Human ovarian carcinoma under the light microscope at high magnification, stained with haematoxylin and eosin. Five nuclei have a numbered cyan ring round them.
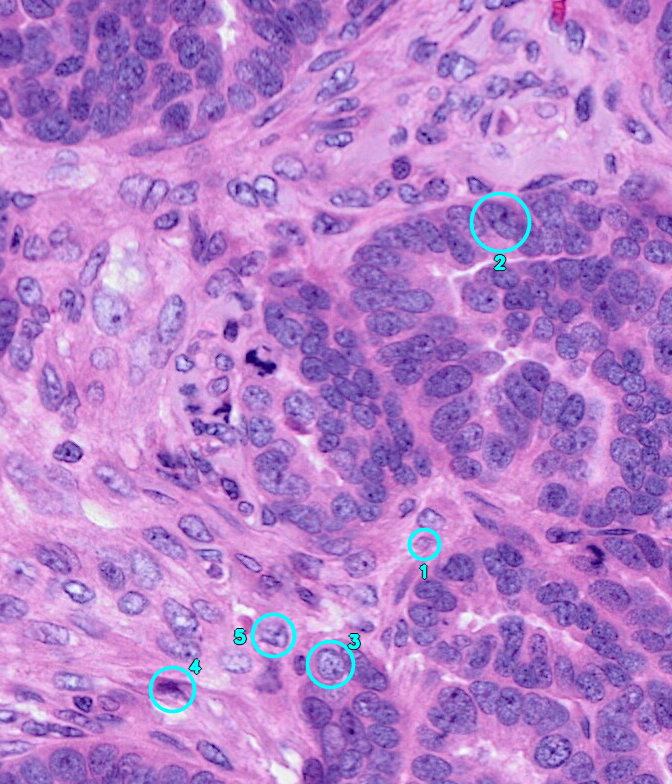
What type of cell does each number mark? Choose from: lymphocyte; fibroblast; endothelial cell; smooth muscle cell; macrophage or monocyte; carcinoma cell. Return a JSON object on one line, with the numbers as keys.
{"1": "fibroblast", "2": "carcinoma cell", "3": "carcinoma cell", "4": "fibroblast", "5": "fibroblast"}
